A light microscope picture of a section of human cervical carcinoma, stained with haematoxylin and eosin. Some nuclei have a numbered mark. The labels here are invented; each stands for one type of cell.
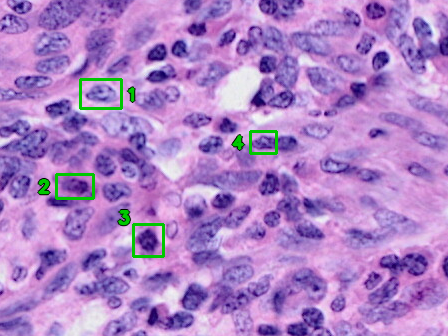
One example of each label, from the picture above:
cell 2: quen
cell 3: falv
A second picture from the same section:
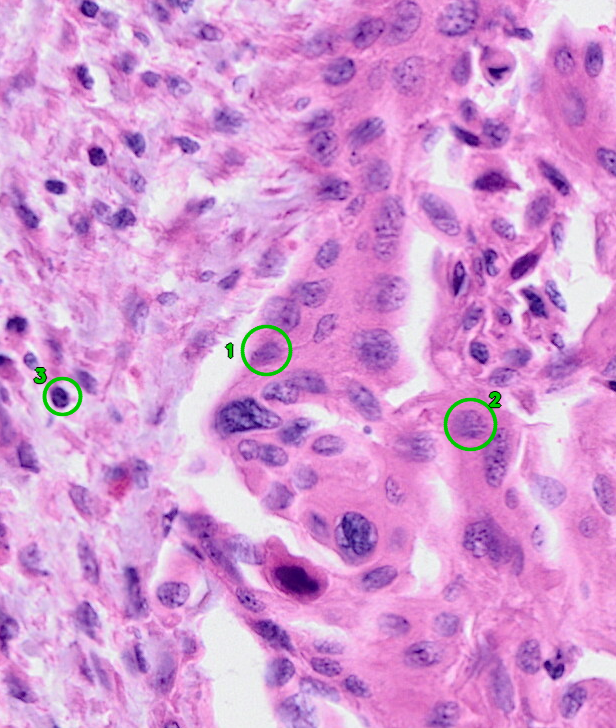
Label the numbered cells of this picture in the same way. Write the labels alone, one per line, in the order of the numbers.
quen
quen
falv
